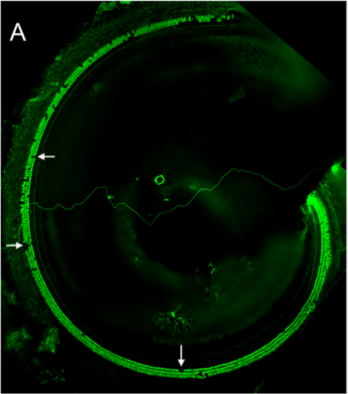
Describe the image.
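Fluorescence view of a coiled cochlear turn of the organ of Corti, with outer hair cells bright green in a narrow band following the curve of the spiral. The cells are small, closely packed and arranged in a few parallel rows. In places along the band the rows are interrupted, leaving gaps where cells are absent. The centre of the coil is dark, with only faint green tissue outlines.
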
